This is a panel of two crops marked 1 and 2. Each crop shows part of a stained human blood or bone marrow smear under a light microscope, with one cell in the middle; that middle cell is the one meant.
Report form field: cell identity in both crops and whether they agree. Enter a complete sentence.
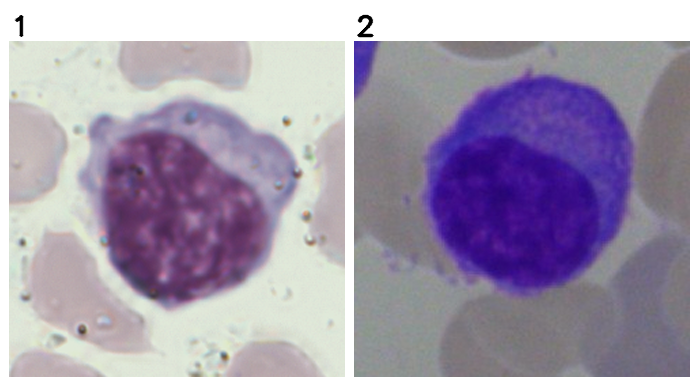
Yes, both crops do show plasma cells in the middle.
